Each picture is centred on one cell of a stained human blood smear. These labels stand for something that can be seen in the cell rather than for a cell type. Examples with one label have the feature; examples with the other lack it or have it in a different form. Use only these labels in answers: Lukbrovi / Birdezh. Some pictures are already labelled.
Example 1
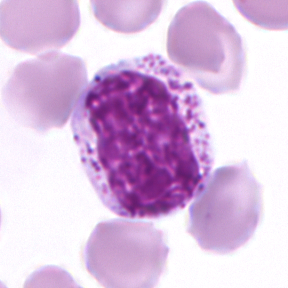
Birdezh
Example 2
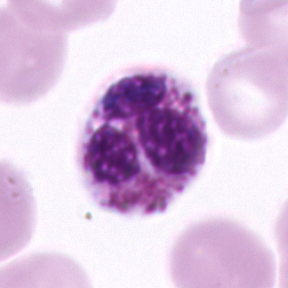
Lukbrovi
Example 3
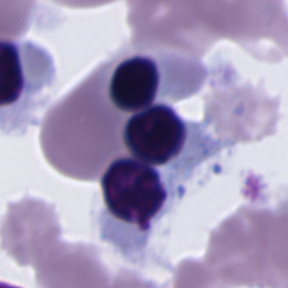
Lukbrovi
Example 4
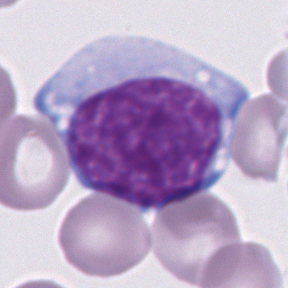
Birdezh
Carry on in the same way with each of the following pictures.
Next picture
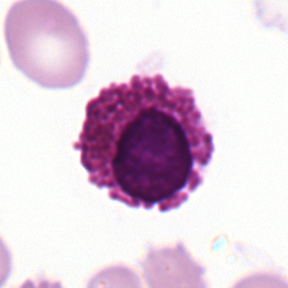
Birdezh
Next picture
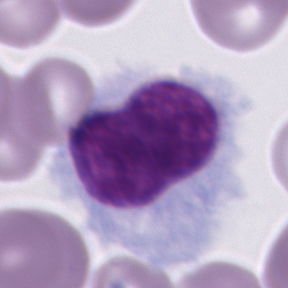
Lukbrovi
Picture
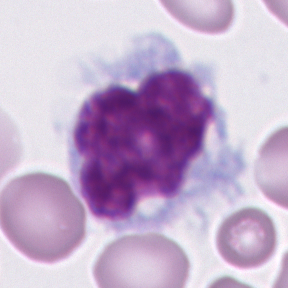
Lukbrovi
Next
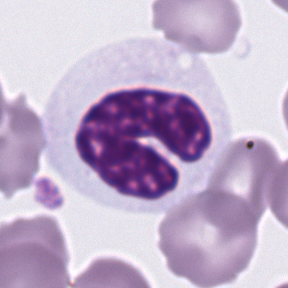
Birdezh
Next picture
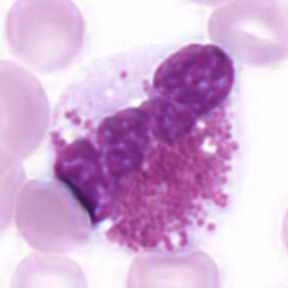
Lukbrovi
